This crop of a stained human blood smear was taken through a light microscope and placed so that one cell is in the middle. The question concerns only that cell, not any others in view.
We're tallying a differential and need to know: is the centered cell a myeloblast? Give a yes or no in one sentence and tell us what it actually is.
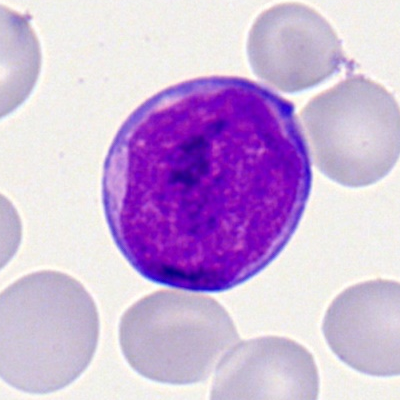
Yes, a myeloblast occupies the middle of the crop.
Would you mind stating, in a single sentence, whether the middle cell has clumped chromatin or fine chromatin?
The chromatin pattern is fine and free of coarse clumps.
